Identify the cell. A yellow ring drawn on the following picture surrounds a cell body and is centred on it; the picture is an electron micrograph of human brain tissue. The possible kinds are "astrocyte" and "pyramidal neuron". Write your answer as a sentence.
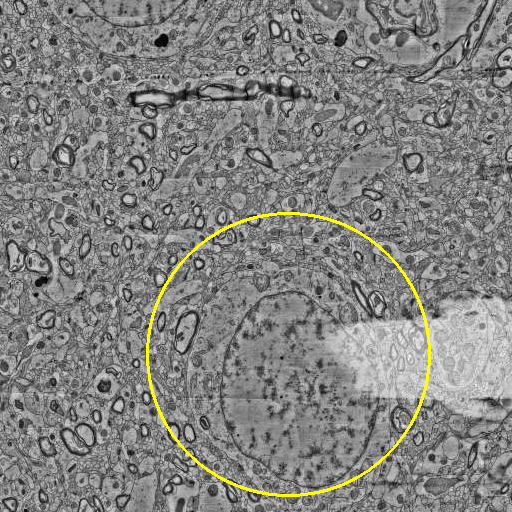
The cell identified by the ring is a pyramidal neuron.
